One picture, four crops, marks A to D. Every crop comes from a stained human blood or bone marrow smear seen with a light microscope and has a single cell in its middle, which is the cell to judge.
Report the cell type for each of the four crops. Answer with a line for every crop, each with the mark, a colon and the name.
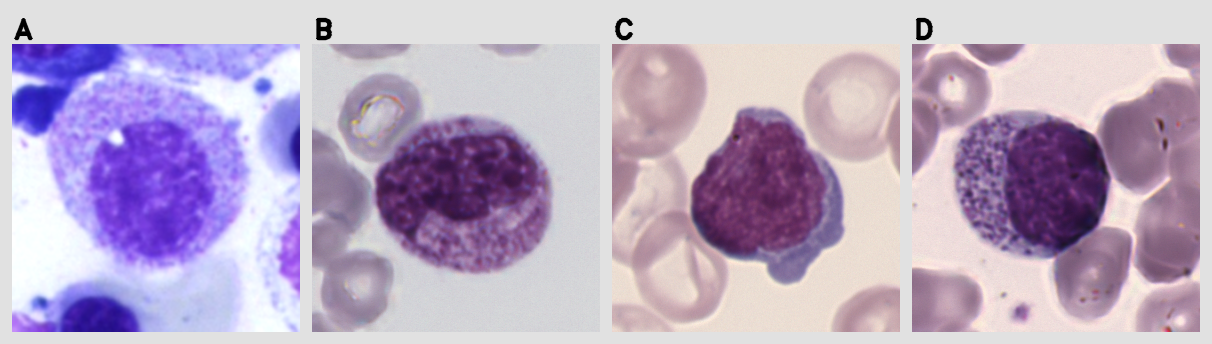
A: myelocyte
B: metamyelocyte
C: blast
D: myelocyte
